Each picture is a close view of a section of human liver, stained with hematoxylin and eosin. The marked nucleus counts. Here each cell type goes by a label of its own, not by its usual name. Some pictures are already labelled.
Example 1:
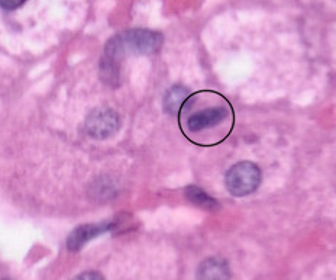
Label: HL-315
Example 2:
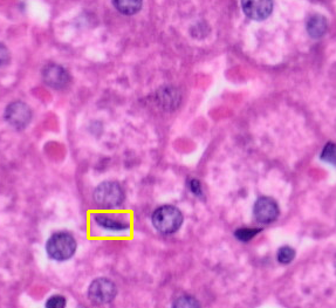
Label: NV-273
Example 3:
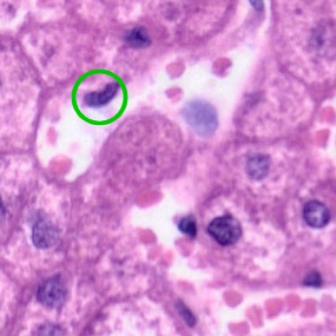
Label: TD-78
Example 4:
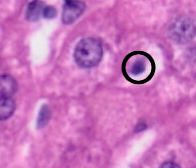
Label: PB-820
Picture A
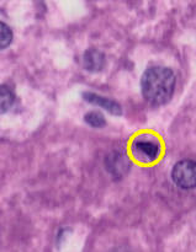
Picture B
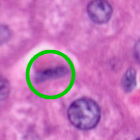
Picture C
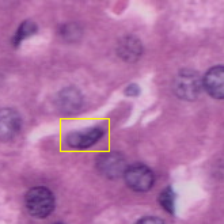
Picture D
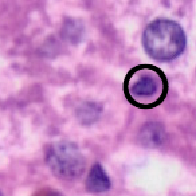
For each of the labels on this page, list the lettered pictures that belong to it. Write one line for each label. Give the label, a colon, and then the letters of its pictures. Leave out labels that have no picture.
HL-315: A, D
TD-78: B, C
